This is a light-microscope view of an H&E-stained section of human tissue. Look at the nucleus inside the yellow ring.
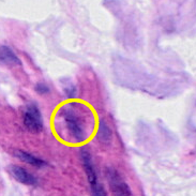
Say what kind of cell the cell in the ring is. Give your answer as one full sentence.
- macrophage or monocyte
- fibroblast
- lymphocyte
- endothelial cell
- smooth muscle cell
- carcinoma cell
This is a smooth muscle cell.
